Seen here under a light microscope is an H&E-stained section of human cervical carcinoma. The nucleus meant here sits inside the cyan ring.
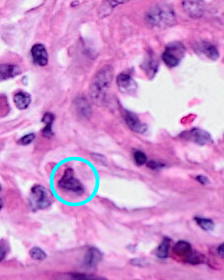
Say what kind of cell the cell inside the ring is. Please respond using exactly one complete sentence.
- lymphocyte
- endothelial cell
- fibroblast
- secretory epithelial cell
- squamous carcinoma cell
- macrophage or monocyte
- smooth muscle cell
The category to which the cell inside the ring belongs is that of a macrophage or monocyte.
